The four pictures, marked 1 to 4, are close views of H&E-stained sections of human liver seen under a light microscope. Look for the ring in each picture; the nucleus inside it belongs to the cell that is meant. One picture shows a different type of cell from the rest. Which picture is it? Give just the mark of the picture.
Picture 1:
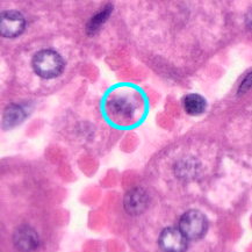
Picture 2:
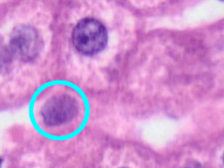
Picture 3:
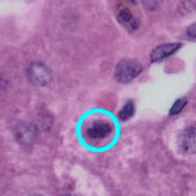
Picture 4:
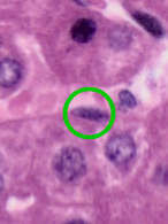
3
